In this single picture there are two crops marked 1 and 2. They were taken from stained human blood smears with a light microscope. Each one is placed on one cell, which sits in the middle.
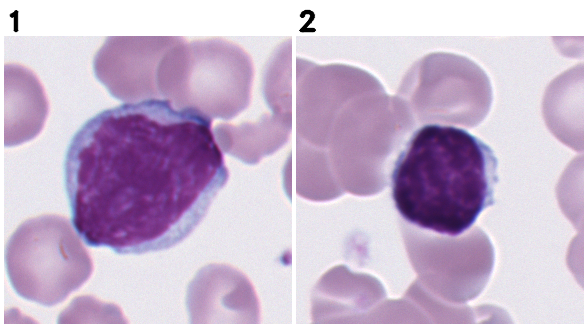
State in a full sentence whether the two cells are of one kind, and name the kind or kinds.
Yes, both crops show typical lymphocytes, one in each.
